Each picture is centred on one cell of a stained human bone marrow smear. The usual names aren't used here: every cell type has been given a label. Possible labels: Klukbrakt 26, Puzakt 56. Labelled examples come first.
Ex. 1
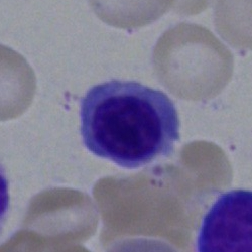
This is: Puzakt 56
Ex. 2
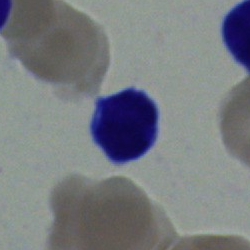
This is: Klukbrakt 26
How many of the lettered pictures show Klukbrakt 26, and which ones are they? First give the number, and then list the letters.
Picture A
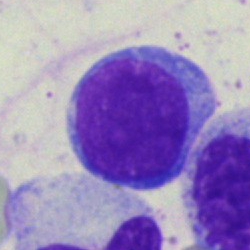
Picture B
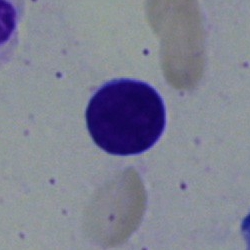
2: A, B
